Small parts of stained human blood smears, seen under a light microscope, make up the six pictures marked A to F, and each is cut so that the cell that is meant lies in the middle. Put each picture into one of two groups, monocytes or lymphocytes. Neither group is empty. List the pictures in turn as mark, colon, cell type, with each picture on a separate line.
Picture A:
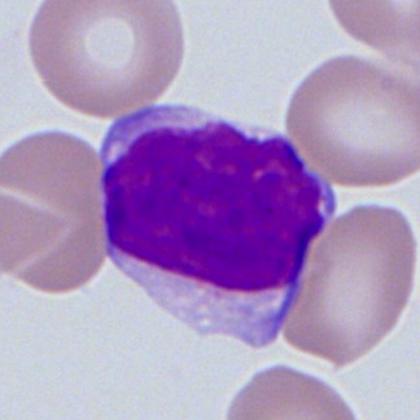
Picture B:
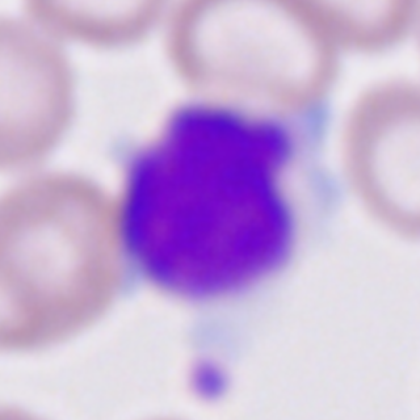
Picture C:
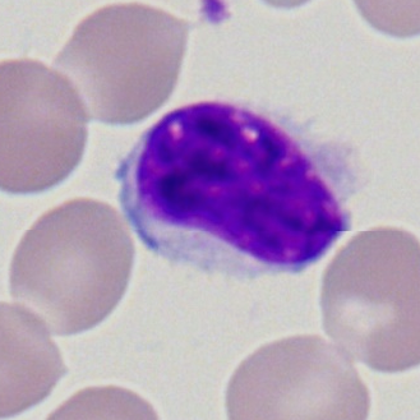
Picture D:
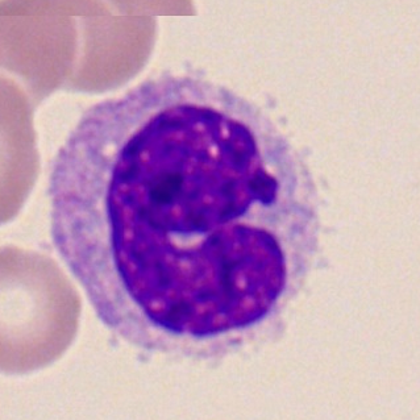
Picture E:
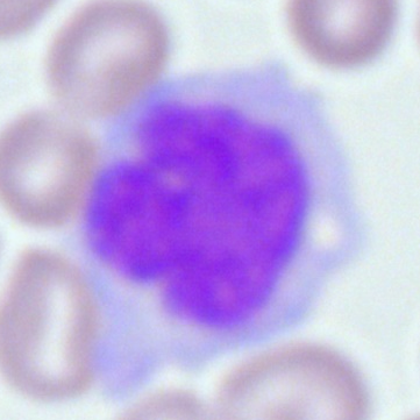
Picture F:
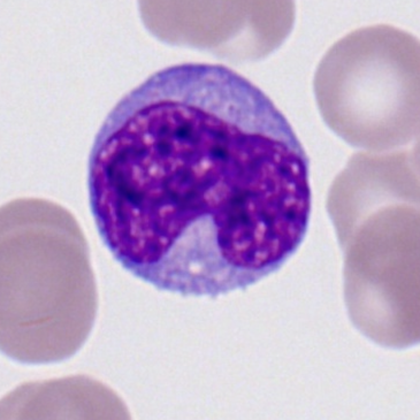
A: lymphocyte
B: lymphocyte
C: lymphocyte
D: monocyte
E: monocyte
F: monocyte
